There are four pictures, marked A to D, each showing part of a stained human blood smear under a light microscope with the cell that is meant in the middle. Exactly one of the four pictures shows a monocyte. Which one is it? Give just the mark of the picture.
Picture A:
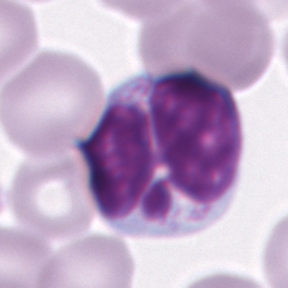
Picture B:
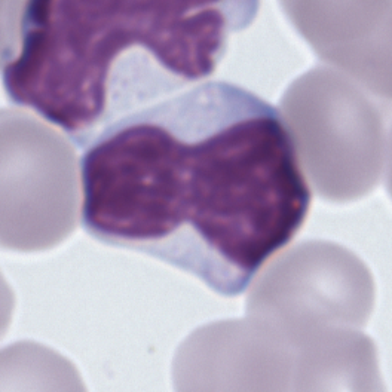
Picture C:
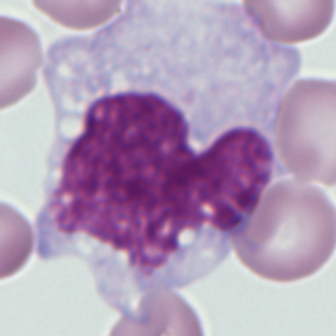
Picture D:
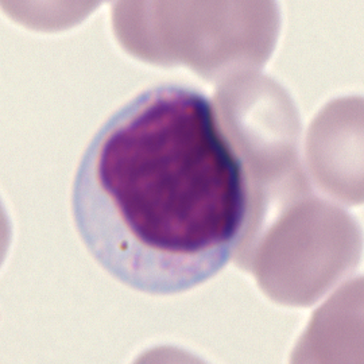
C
